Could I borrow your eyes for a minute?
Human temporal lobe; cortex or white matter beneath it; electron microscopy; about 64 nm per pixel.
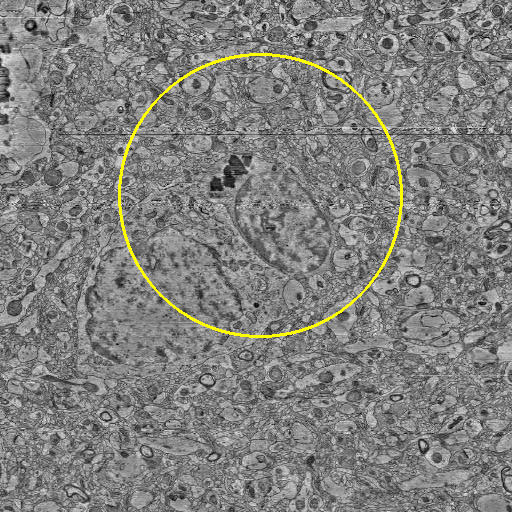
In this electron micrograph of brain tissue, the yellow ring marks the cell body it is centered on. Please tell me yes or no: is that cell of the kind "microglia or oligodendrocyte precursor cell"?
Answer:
no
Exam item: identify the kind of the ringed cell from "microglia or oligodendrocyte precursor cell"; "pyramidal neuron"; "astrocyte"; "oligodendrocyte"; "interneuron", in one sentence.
What the ring is centred on is an oligodendrocyte.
